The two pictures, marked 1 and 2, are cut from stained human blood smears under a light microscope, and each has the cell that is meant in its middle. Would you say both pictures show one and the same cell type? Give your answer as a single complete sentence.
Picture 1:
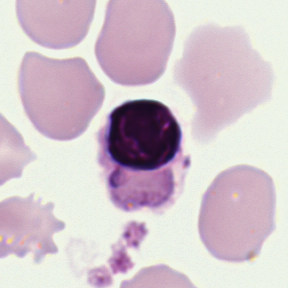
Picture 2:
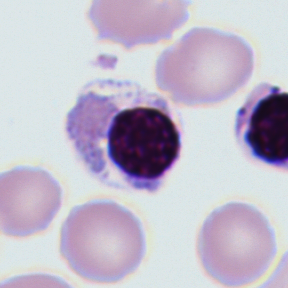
Yes; the cells in both pictures are normoblasts.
